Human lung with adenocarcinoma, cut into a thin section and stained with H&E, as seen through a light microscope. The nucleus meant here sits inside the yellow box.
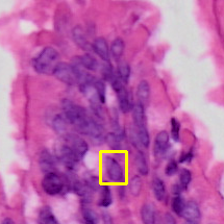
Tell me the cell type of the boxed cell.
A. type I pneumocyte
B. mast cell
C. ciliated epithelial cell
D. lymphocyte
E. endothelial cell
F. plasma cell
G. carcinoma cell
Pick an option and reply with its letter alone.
C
